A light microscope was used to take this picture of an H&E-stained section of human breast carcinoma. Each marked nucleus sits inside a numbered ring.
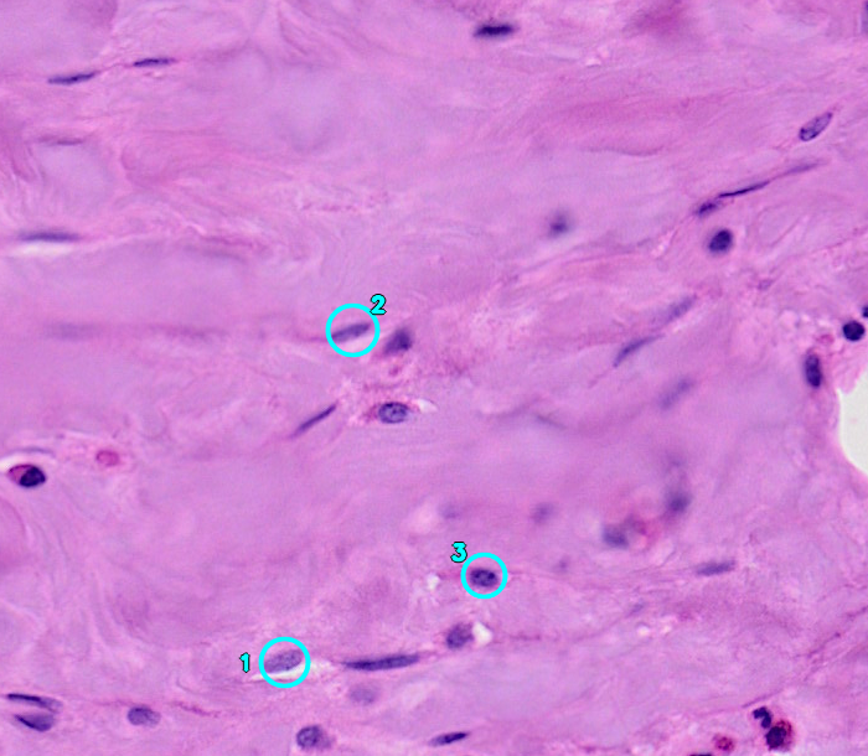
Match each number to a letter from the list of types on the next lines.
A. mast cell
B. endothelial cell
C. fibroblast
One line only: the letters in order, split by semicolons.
C; C; A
